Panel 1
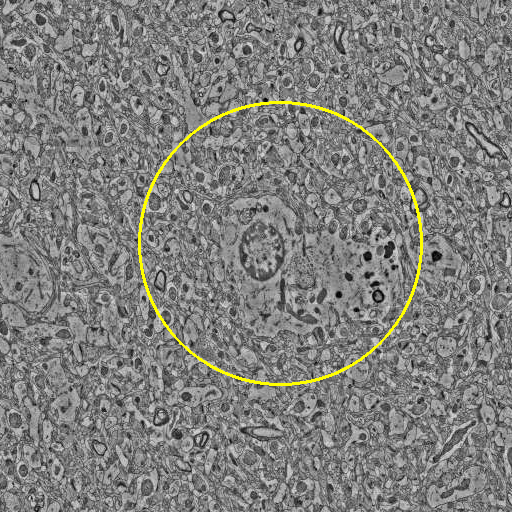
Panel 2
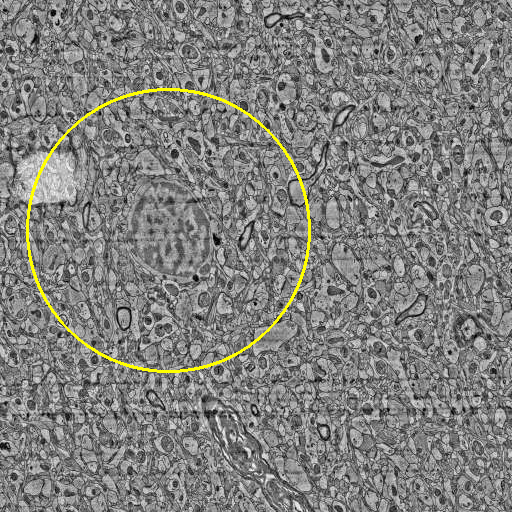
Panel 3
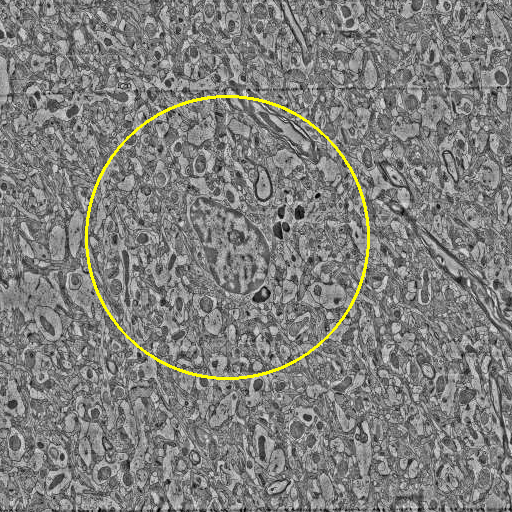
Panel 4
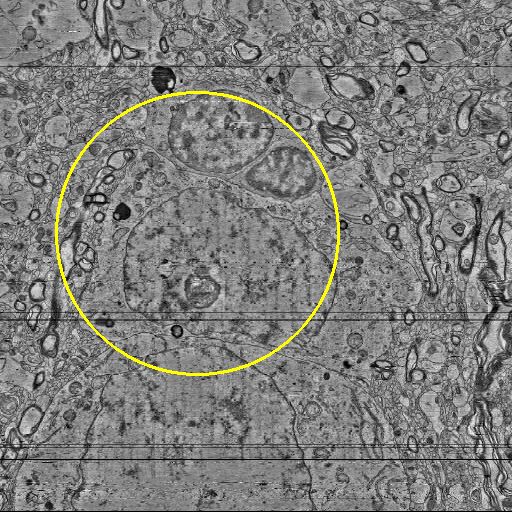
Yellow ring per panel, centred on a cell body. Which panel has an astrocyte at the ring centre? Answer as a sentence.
Panel 1 shows it at the ring centre.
